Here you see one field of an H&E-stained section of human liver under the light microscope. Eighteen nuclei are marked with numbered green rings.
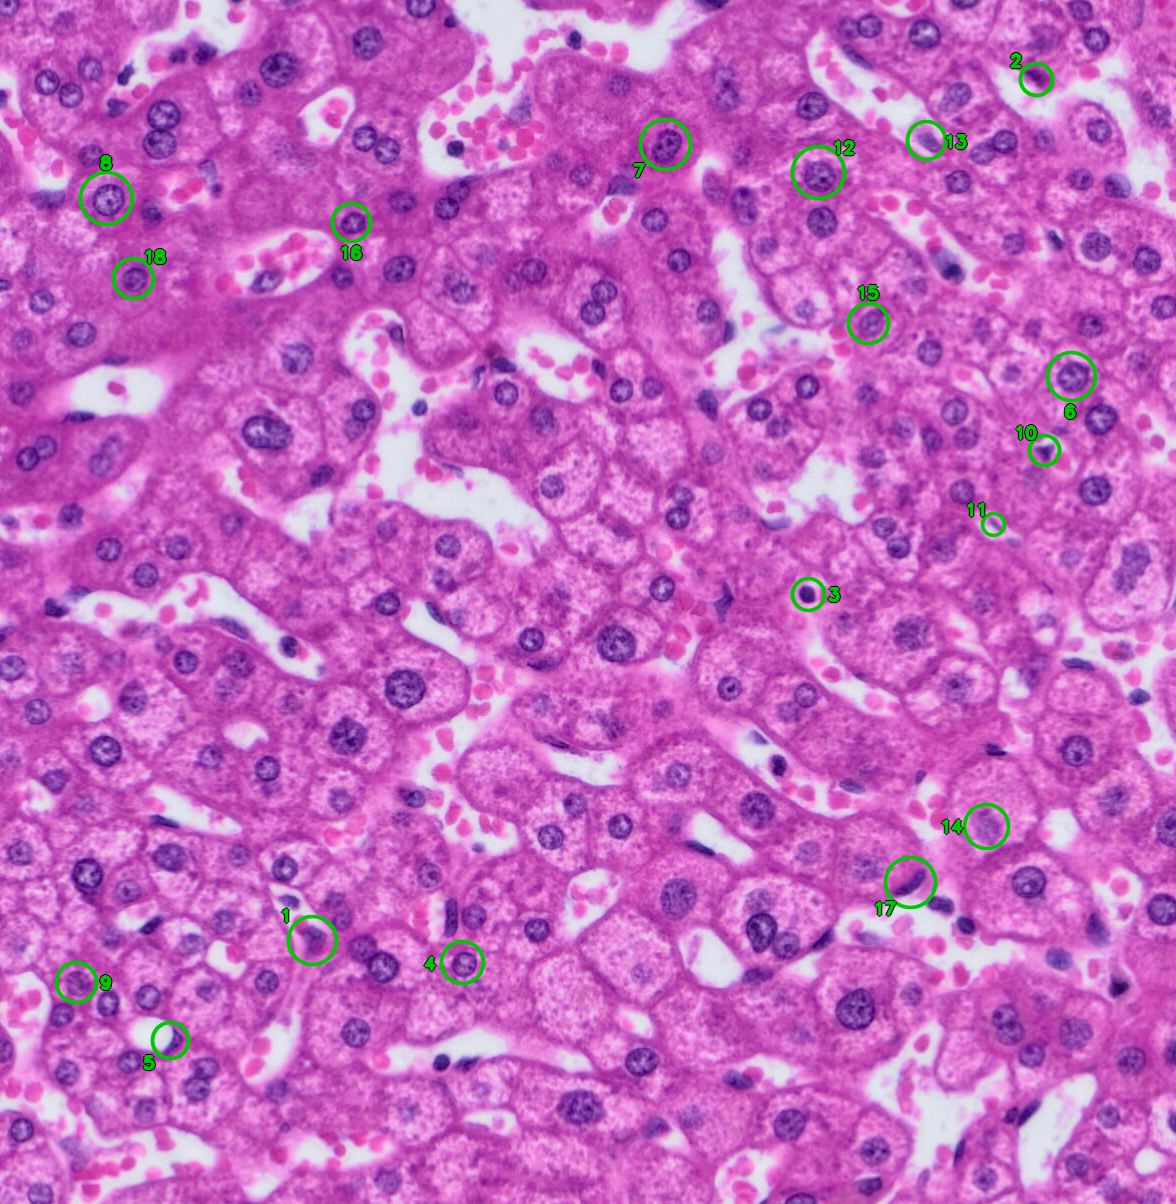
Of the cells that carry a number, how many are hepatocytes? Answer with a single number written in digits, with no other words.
10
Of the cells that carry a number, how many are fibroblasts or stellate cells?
1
